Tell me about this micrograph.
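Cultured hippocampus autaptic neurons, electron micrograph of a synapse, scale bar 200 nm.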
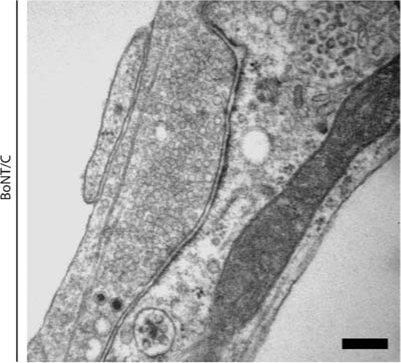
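An elongated process in the upper middle of the image is filled with many small round clear vesicles. The vesicle-filled process runs alongside neighbouring membranes, with a narrow, regular cleft between them. To the right lies a long, darkly stained mitochondrion in an adjacent process. Near the bottom left there are a few vesicles with dark dense cores and a larger membrane-bound structure with mixed contents. Together these features mark a presynaptic terminal packed with synaptic vesicles and apposed to its partner membrane.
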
